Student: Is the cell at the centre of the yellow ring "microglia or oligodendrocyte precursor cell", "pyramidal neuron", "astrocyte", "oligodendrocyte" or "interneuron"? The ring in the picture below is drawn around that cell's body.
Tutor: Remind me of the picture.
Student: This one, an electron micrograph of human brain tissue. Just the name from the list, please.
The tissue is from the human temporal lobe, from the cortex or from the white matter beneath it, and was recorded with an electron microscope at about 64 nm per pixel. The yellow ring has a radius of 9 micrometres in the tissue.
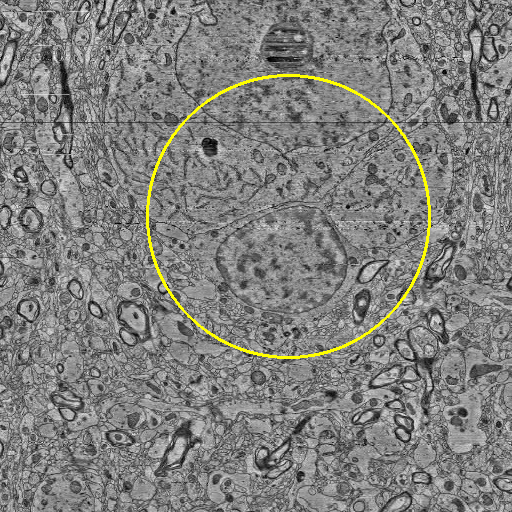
oligodendrocyte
